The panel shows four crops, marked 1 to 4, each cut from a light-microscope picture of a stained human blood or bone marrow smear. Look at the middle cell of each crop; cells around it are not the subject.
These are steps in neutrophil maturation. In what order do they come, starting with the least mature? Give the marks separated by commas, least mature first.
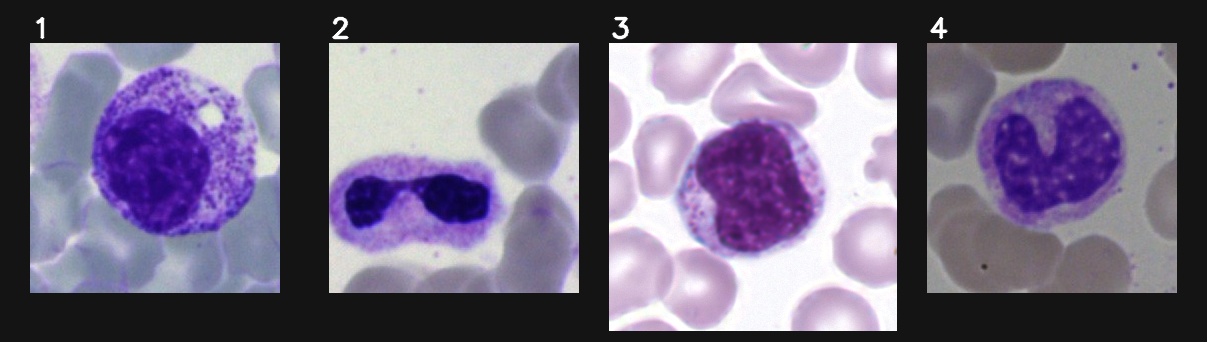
1, 3, 4, 2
